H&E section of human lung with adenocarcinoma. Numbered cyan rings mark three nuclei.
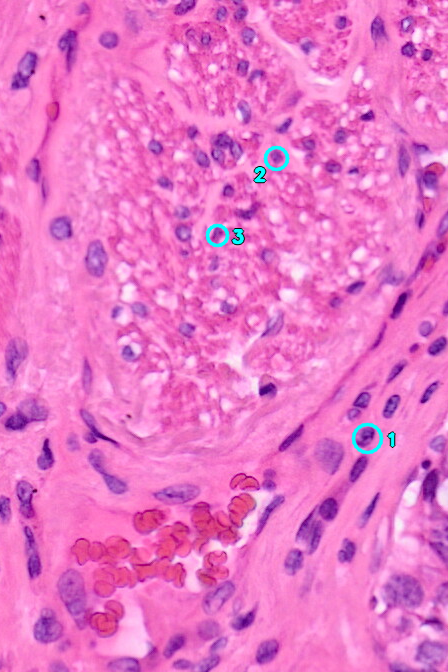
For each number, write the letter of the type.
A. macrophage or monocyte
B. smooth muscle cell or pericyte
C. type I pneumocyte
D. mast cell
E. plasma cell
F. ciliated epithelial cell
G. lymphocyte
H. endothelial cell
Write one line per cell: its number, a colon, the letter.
1: D
2: B
3: B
